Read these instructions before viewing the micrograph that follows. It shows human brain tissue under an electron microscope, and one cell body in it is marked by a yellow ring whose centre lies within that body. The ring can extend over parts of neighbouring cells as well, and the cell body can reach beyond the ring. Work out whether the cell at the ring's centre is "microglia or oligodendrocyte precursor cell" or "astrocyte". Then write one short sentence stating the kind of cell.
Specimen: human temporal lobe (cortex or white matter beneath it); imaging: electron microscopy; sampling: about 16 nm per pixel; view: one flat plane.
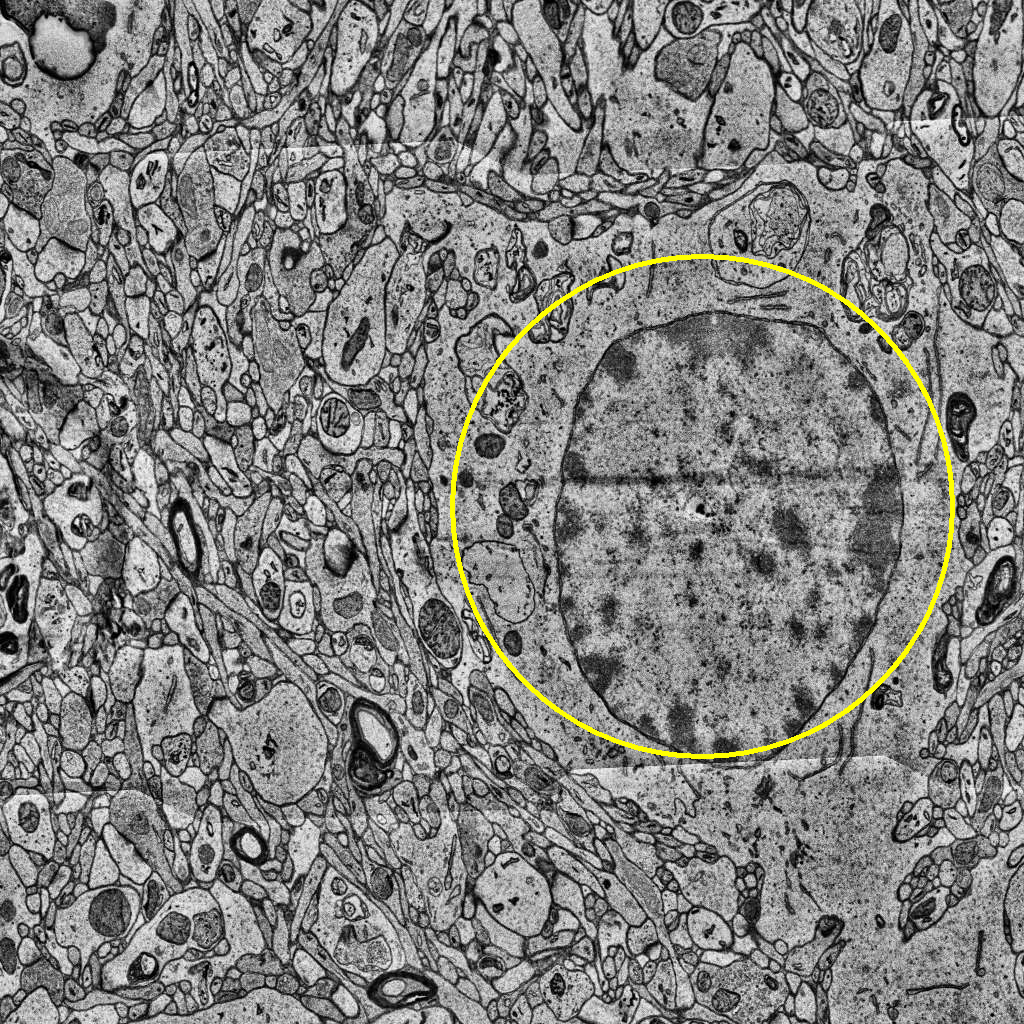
The cell at the ring's centre is an astrocyte.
